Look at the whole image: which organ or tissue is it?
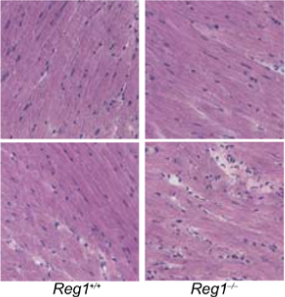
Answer: heart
